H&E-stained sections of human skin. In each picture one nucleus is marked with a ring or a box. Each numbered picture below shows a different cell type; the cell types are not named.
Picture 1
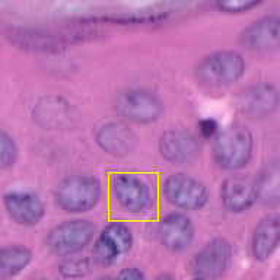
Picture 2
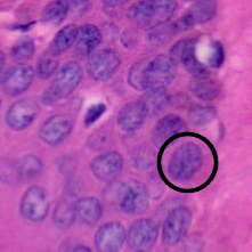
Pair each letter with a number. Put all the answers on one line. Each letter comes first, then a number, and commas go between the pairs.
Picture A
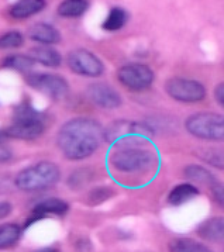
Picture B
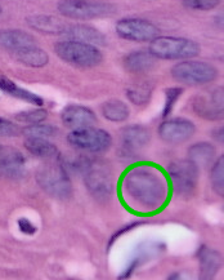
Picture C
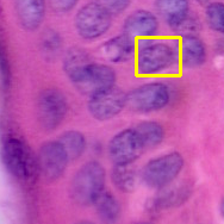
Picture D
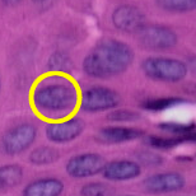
A 2, B 2, C 2, D 1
